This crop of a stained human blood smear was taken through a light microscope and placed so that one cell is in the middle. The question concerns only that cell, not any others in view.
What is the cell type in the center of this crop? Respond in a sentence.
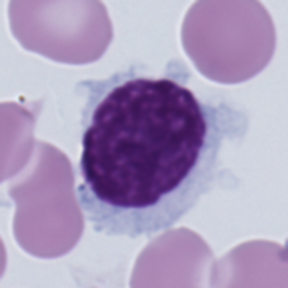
At the center of the crop sits a hairy cell.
